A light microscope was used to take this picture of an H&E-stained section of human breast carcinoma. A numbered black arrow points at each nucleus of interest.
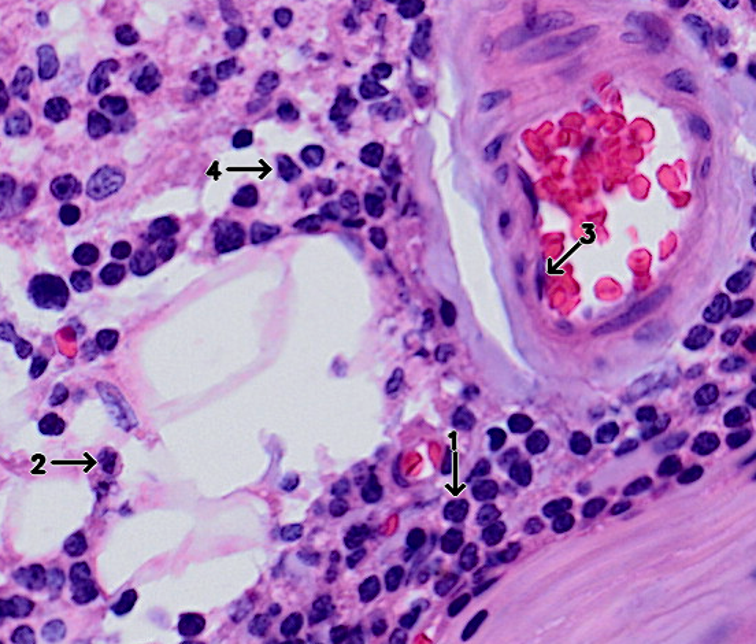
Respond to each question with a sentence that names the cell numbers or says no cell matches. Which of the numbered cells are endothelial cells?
Among the numbered cells, an endothelial cell occurs only once, as cell 3.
